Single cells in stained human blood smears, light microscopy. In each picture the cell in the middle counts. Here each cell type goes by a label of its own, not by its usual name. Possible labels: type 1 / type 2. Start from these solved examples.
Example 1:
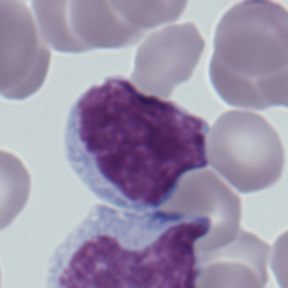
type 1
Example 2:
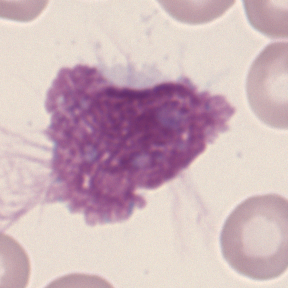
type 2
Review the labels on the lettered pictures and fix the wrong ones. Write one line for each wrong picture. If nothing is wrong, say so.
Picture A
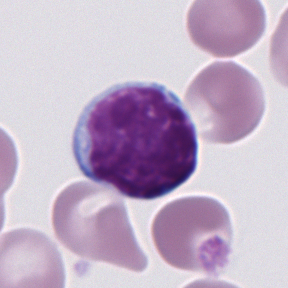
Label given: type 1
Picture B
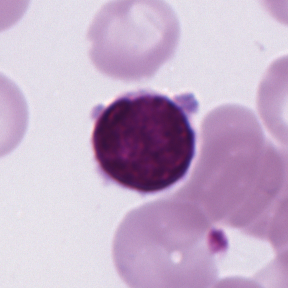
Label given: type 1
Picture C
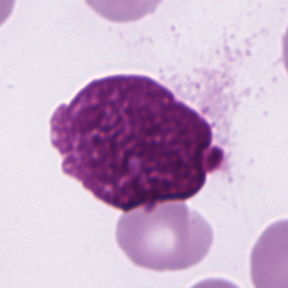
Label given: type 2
Nothing to fix; every label fits.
